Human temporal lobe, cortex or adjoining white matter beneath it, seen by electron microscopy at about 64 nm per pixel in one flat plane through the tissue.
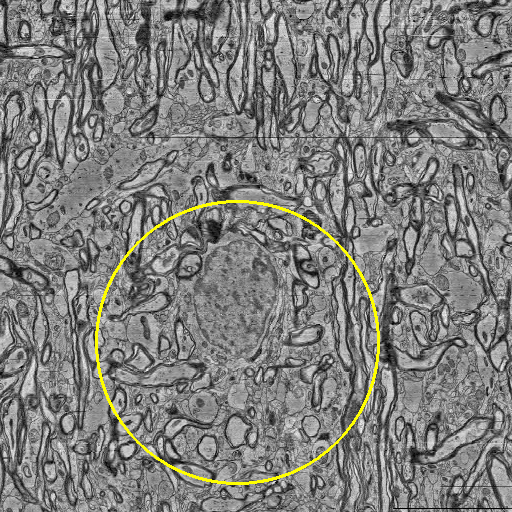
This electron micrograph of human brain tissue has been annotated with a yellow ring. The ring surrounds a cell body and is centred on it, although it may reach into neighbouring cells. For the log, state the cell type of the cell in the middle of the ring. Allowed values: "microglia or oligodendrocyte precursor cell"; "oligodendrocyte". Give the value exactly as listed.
oligodendrocyte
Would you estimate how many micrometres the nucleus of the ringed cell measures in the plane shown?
In this plane the nucleus is clearly longer than it is wide, at approximately 8 by 5 micrometres.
